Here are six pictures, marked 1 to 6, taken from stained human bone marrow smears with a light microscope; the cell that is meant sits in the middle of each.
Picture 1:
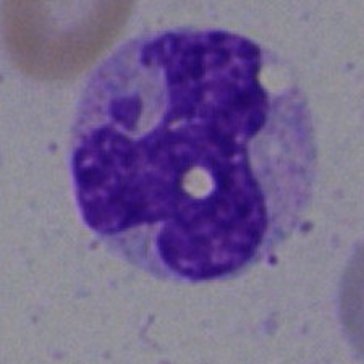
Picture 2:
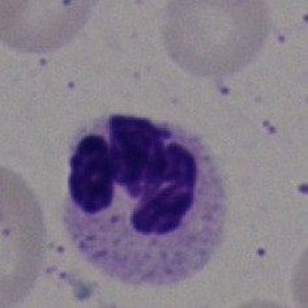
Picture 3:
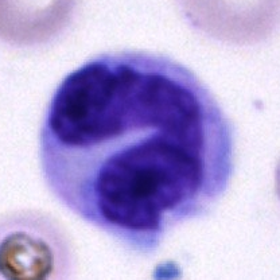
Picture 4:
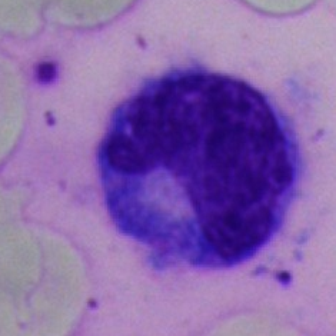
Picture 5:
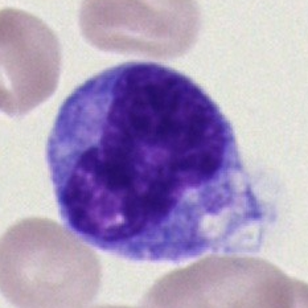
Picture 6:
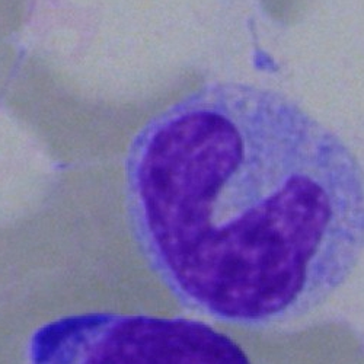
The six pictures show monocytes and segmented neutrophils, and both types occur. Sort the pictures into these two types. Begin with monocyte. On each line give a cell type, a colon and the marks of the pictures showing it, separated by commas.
monocyte: 3, 4, 5, 6
segmented neutrophil: 1, 2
